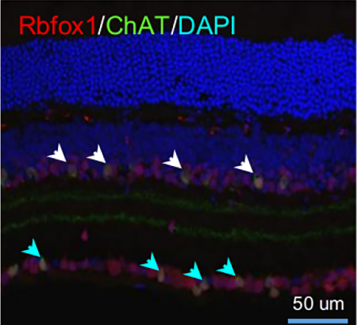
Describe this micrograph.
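This is a cross-section of retina with starburst amacrine cells, showing its stacked layers. A thick band of densely packed blue nuclei forms the outer nuclear layer at the top, separated by a thin dark outer plexiform layer from the thinner inner nuclear layer. Two thin parallel green bands run horizontally through the dark inner plexiform layer.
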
